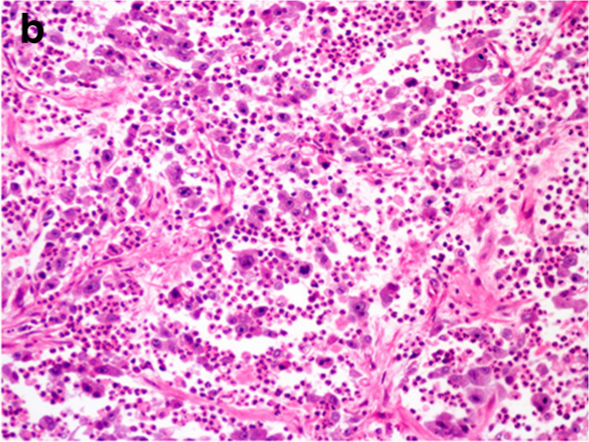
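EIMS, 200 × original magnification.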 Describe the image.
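A tumor made of sheets of round-to-epithelioid cells is seen, heavily mixed with inflammatory cells. The tumor cells are larger, with pink to purple cytoplasm and round nuclei, while the inflammatory cells are small with compact dark nuclei and are scattered densely throughout. Thin strands of pink collagen cross the field and divide the cells into loose groups.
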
